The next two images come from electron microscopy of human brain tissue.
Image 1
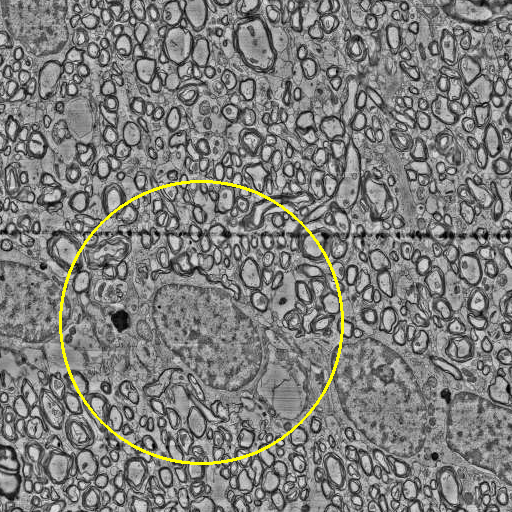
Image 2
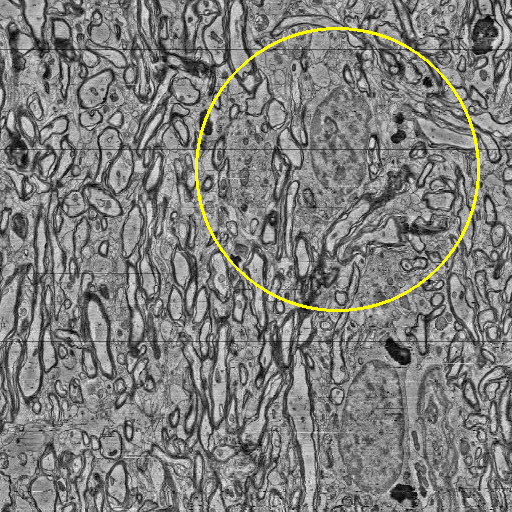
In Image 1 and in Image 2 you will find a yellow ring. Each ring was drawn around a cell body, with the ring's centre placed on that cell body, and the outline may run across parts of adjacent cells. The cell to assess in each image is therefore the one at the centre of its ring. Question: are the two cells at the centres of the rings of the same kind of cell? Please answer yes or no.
yes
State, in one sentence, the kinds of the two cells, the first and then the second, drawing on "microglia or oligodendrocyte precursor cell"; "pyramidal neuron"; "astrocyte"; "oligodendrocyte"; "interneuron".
Each cell at the centre of a ring is an oligodendrocyte.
